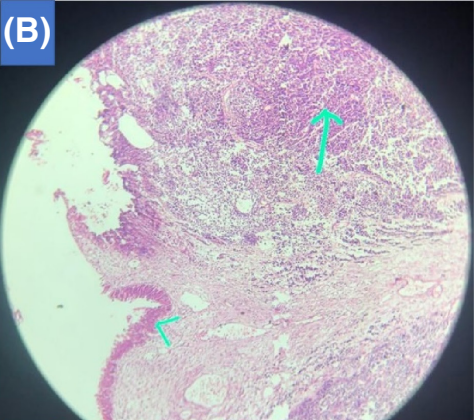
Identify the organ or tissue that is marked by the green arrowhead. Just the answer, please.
normal epithelium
